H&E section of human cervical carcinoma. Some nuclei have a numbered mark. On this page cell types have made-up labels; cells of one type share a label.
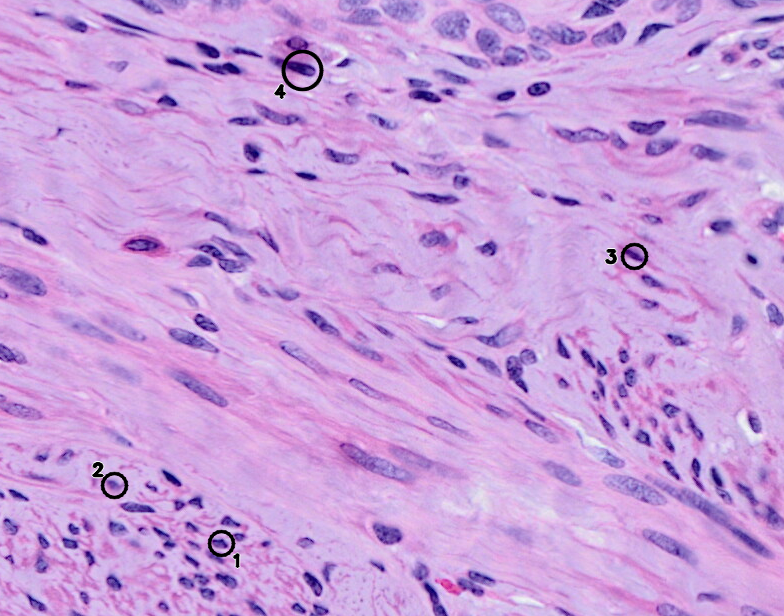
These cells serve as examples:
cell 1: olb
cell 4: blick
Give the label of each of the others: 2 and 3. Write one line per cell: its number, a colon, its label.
2: olb
3: olb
